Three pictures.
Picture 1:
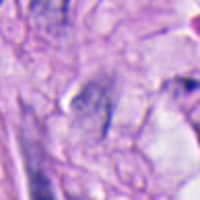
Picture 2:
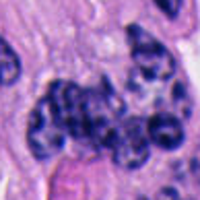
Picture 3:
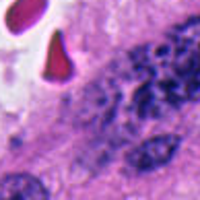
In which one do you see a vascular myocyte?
In picture 1.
